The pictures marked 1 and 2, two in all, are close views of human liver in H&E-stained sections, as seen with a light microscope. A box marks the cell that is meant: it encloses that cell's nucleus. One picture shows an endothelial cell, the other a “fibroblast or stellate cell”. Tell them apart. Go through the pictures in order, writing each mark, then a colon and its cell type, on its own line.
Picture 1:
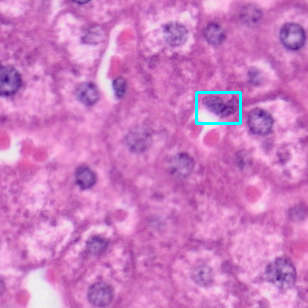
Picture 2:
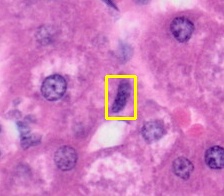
1: endothelial cell
2: fibroblast or stellate cell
